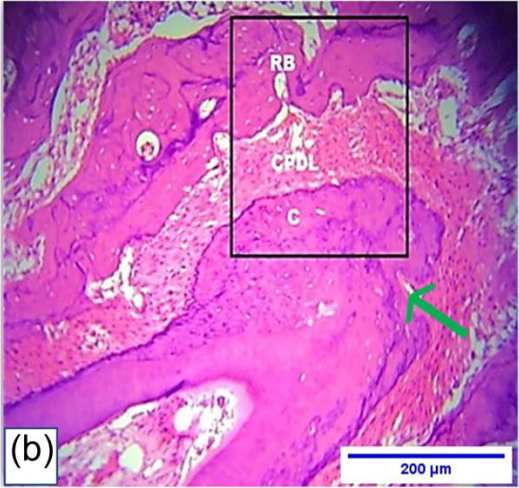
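Deep pink bone occupies the upper part, its lower border irregular where it meets the ligament. Below it a narrow band of ligament carries many small dark nuclei and pale spaces. Beneath lies a purplish layer over the root, bounded by a sharp line. The root dentin runs diagonally across the lower left as a smooth pink-purple mass. Loose tissue with spaces lies at the upper left.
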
